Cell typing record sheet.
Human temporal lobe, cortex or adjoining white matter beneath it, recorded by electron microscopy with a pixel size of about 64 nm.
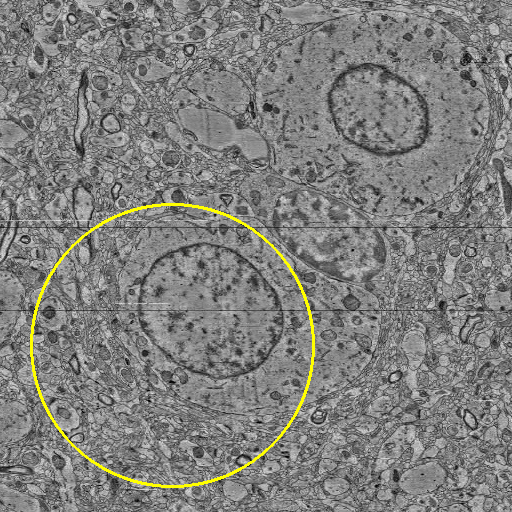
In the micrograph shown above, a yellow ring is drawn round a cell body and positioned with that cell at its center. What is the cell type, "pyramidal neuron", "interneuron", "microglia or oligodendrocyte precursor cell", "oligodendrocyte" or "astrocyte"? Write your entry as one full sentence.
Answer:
The cell body at the center of the ring belongs to a pyramidal neuron.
